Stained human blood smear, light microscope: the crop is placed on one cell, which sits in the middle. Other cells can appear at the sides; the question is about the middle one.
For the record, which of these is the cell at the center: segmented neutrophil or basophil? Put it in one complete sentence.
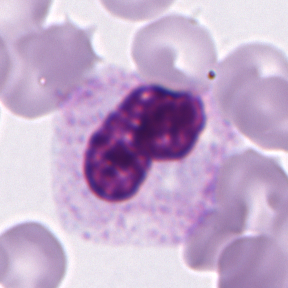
At the middle of the frame sits a segmented neutrophil.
